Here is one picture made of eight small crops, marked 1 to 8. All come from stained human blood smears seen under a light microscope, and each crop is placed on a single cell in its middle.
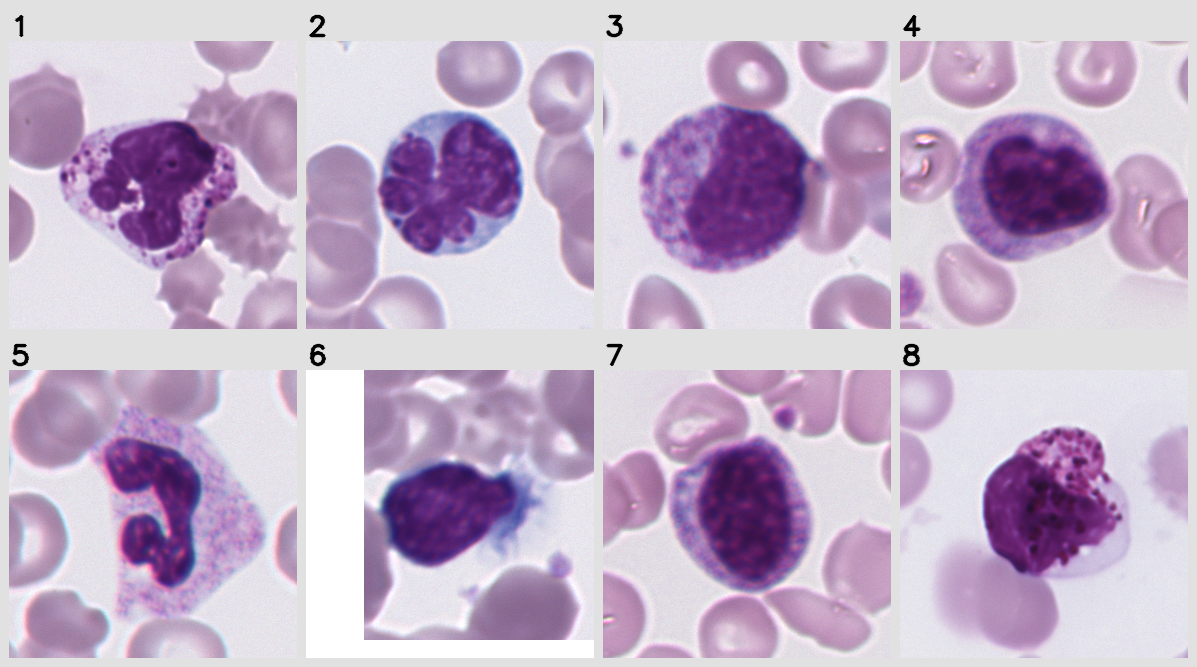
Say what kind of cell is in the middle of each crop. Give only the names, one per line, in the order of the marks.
basophil
blast
myelocyte
metamyelocyte
segmented neutrophil
lymphocyte
metamyelocyte
basophil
